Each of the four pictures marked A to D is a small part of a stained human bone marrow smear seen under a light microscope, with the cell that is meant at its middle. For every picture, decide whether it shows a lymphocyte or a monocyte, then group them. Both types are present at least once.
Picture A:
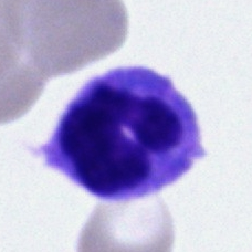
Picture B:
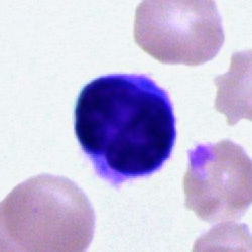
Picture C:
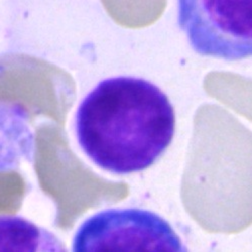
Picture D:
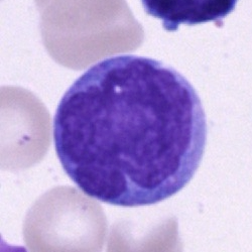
A: monocyte
B: lymphocyte
C: lymphocyte
D: monocyte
